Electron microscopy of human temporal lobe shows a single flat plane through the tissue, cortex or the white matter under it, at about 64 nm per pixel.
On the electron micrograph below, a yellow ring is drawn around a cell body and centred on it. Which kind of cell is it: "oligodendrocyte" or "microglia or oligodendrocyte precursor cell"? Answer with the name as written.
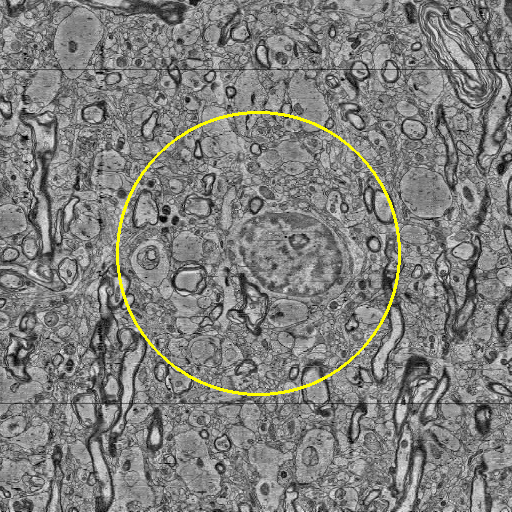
oligodendrocyte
